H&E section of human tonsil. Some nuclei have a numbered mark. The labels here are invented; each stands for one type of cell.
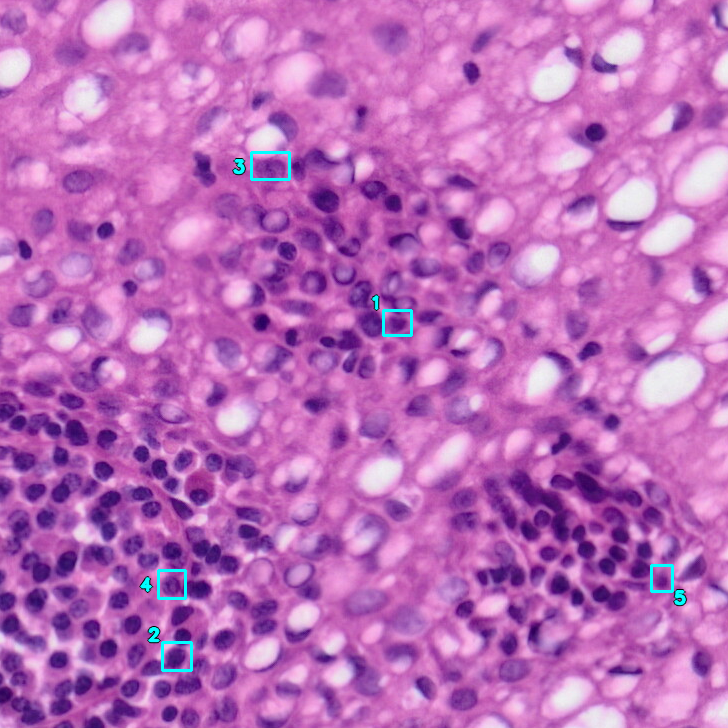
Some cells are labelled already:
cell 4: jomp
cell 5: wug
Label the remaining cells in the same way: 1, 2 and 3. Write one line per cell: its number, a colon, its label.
1: wug
2: jomp
3: wug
